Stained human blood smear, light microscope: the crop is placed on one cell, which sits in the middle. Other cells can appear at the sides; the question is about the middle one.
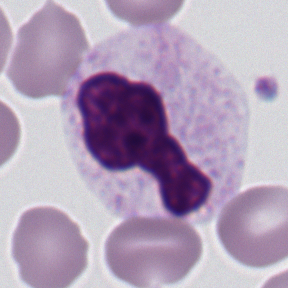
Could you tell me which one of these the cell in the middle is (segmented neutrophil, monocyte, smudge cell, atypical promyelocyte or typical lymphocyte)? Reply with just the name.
segmented neutrophil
